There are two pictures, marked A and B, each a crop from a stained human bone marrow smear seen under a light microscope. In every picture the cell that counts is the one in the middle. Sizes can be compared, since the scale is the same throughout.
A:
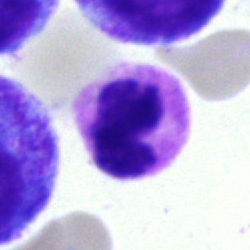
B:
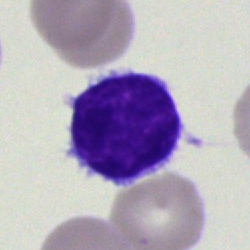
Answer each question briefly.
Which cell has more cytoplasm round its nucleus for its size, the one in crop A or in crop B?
A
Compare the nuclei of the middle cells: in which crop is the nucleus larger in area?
B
